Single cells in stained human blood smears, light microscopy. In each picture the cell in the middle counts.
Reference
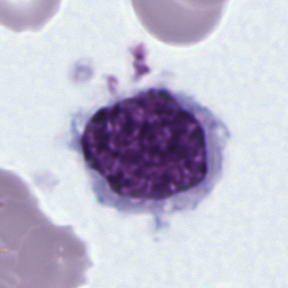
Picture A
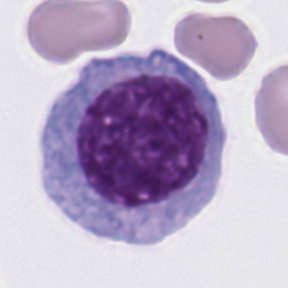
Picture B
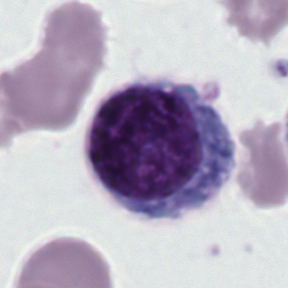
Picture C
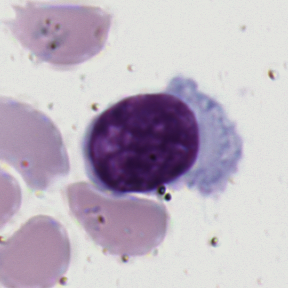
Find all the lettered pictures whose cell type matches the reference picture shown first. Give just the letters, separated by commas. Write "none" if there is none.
A, B, C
